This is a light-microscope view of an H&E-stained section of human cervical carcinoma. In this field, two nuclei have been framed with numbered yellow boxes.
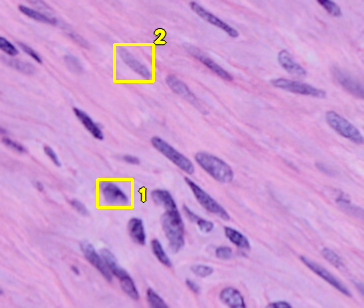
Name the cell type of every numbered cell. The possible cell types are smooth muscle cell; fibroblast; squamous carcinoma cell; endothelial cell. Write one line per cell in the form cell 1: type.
cell 1: fibroblast
cell 2: smooth muscle cell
